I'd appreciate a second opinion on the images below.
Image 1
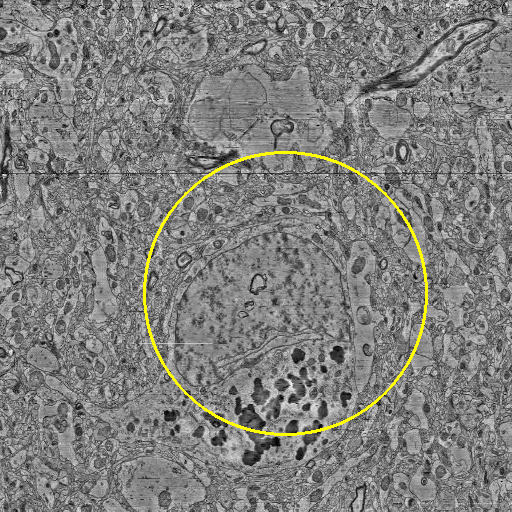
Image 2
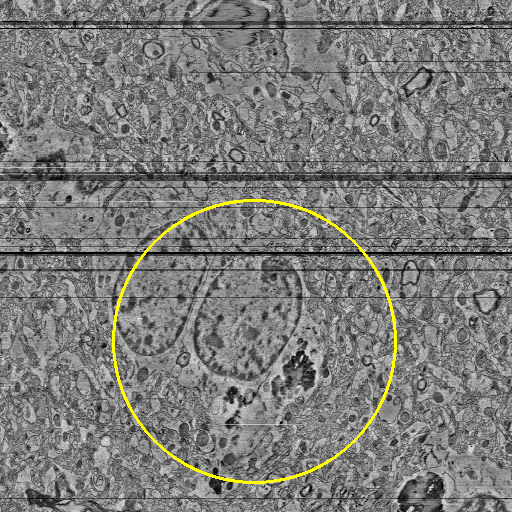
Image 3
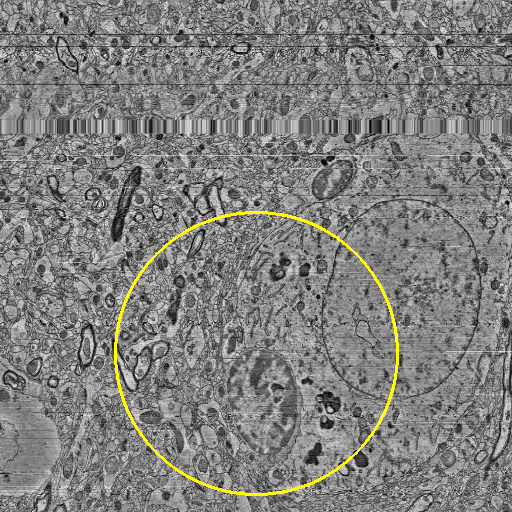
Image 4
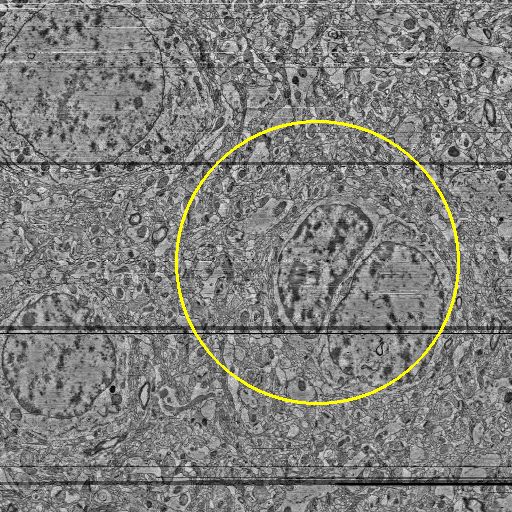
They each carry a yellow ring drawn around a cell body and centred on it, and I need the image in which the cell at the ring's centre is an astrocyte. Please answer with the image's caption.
Image 2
